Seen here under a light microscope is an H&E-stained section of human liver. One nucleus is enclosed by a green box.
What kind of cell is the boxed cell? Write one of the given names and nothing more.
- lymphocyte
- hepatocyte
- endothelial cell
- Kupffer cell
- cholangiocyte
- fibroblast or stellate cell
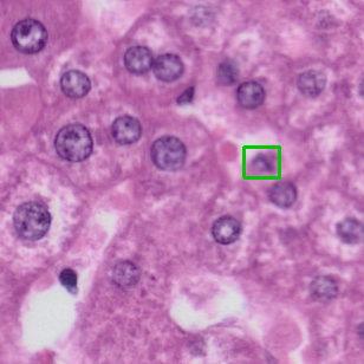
Kupffer cell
